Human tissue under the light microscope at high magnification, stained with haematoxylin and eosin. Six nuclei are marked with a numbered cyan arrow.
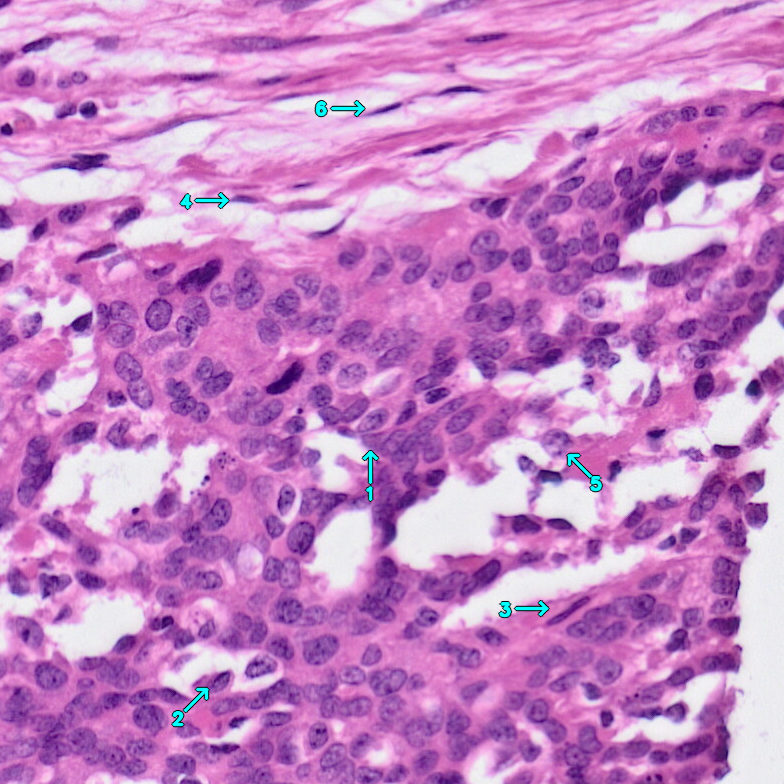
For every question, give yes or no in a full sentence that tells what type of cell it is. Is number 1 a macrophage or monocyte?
No, cell 1 does not count as a macrophage or monocyte; it is a carcinoma cell.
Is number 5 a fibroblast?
No, instead of a fibroblast, the cell with number 5 is a macrophage or monocyte.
